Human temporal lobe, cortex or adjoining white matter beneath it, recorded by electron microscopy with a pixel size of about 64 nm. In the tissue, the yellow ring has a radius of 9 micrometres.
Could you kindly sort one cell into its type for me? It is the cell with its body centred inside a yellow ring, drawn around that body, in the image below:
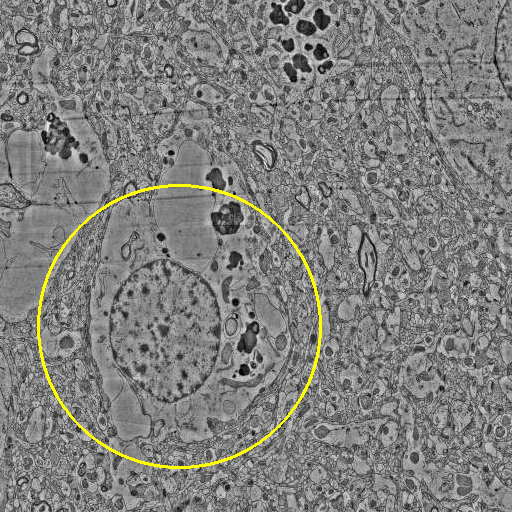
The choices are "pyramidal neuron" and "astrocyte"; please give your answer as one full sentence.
The cell whose body lies centred in the yellow ring here is an astrocyte.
